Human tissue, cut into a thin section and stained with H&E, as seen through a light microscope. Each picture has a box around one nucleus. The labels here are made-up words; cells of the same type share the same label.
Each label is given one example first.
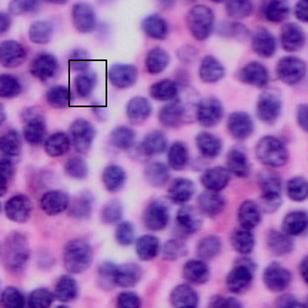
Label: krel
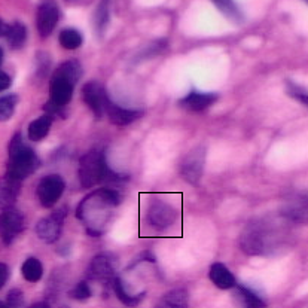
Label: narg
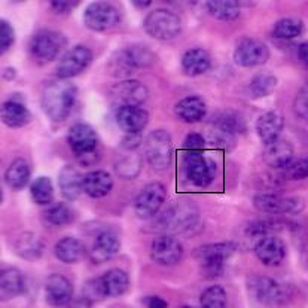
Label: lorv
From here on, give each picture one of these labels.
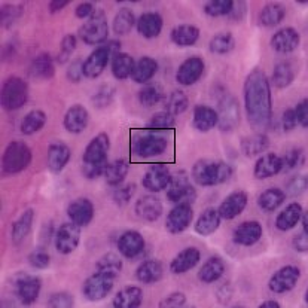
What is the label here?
lorv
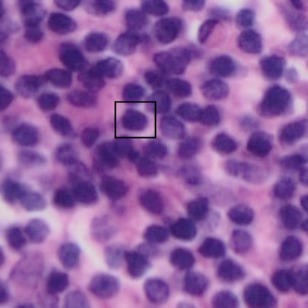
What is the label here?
krel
